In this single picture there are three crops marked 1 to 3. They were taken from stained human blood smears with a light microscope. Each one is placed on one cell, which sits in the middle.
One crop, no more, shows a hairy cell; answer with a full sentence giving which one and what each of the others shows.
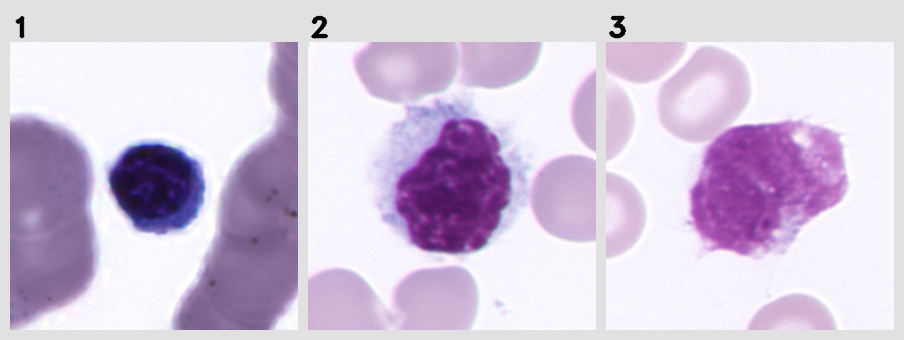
Crop 2 features a hairy cell, while crop 1 is a plasma cell and crop 3 is a smudge cell.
